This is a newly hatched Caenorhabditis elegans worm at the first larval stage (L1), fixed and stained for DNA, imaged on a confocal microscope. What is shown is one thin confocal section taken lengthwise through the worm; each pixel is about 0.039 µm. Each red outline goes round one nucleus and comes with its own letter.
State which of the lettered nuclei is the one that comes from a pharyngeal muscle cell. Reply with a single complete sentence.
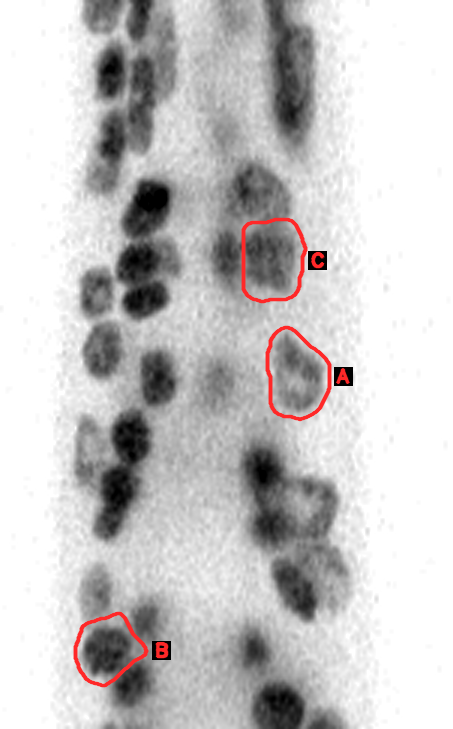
The one from a pharyngeal muscle cell is C.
